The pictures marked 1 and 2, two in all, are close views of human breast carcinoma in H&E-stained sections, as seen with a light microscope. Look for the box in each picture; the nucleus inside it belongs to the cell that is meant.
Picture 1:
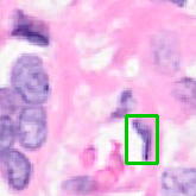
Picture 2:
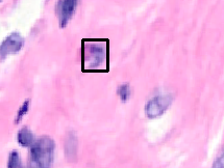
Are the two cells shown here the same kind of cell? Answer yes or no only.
yes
